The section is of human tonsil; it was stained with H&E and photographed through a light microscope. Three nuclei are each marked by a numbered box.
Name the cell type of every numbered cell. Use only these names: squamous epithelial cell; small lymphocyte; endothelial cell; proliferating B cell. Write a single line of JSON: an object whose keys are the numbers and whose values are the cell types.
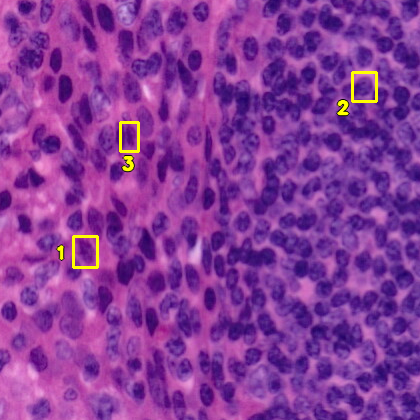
{"1": "squamous epithelial cell", "2": "small lymphocyte", "3": "squamous epithelial cell"}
